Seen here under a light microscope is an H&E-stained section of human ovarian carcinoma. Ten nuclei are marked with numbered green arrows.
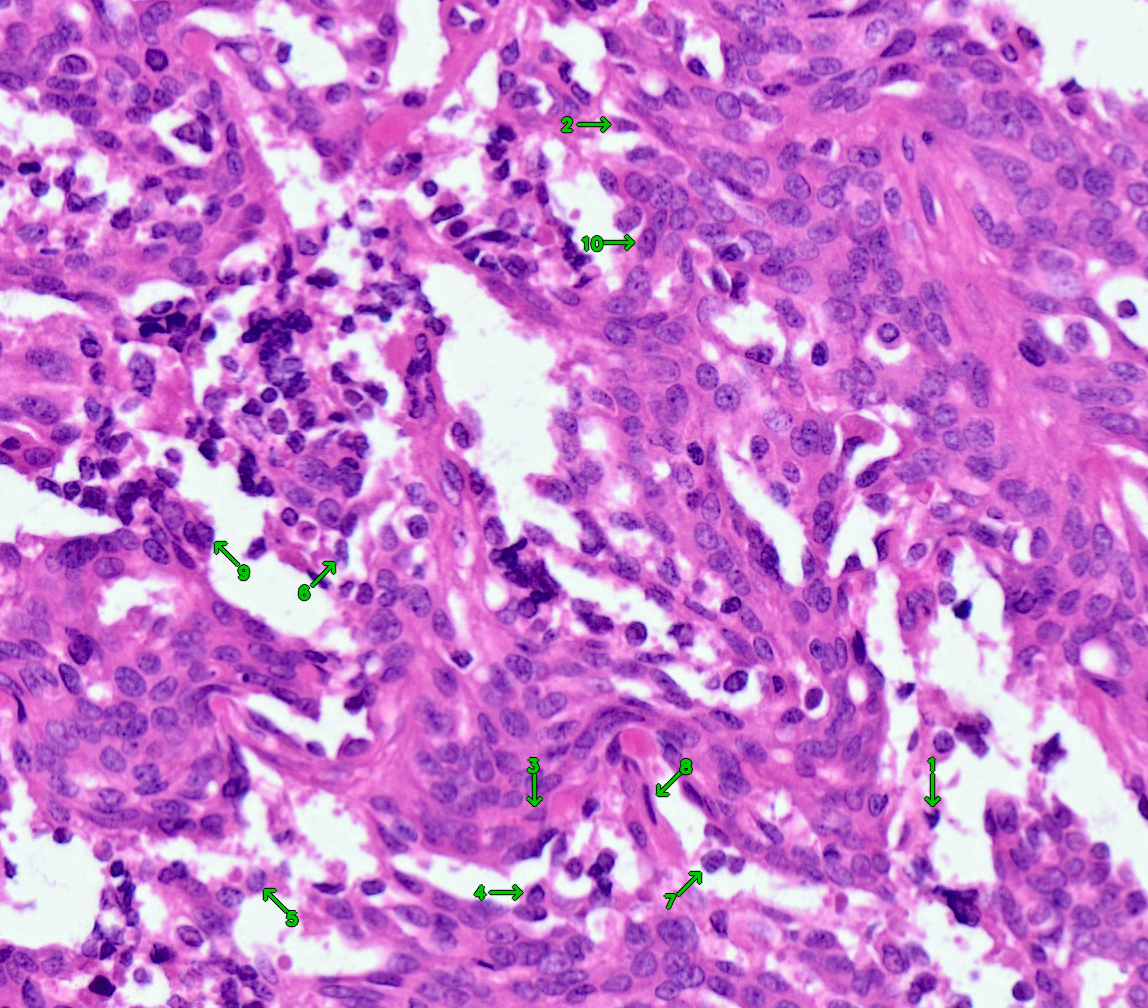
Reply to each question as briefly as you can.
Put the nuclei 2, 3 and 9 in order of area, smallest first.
3, 2, 9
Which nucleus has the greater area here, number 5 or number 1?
5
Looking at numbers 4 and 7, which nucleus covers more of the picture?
7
